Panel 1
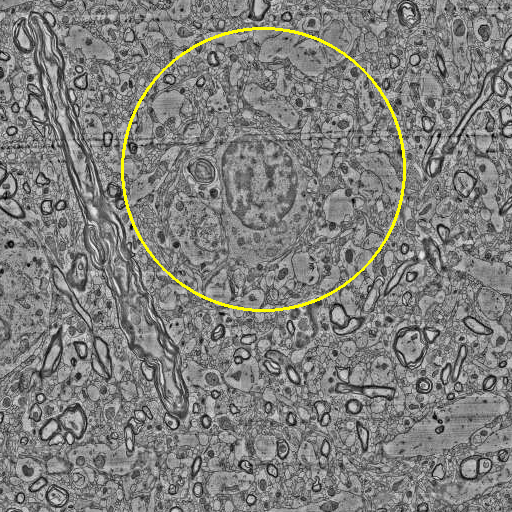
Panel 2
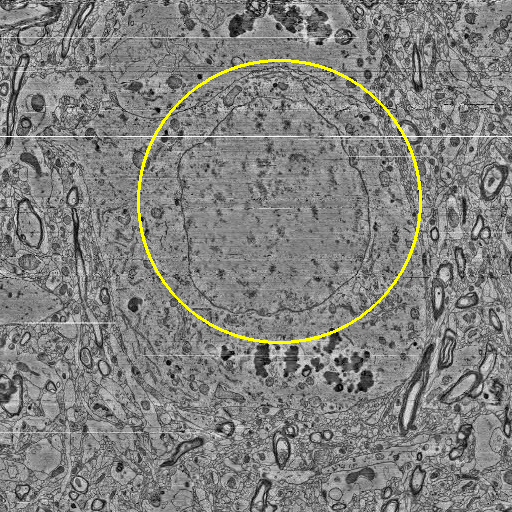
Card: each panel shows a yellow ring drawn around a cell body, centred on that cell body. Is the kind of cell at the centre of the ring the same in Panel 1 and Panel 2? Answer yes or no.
no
